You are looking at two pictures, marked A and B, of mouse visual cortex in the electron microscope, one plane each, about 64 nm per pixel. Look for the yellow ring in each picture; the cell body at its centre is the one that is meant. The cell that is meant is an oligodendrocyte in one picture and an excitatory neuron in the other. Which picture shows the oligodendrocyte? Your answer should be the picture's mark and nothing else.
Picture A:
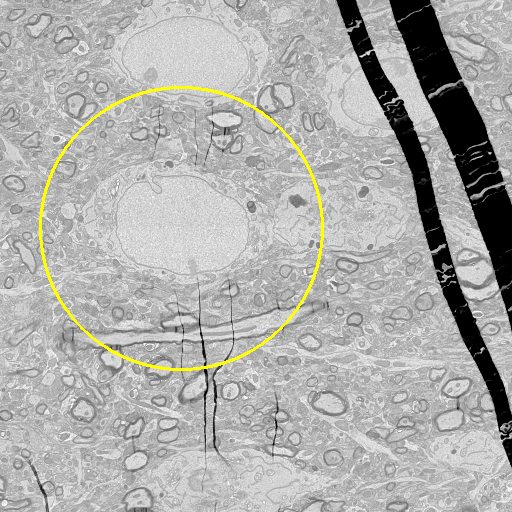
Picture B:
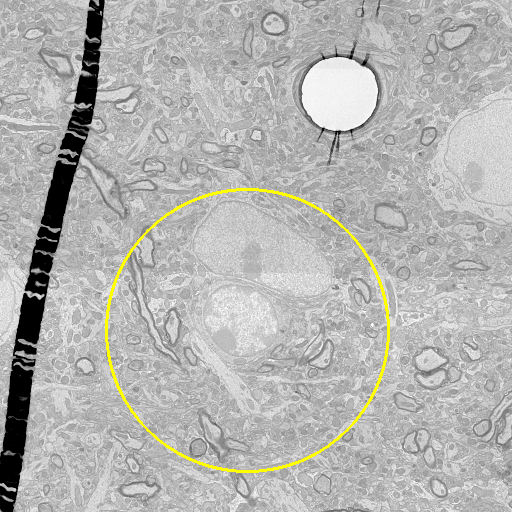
B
